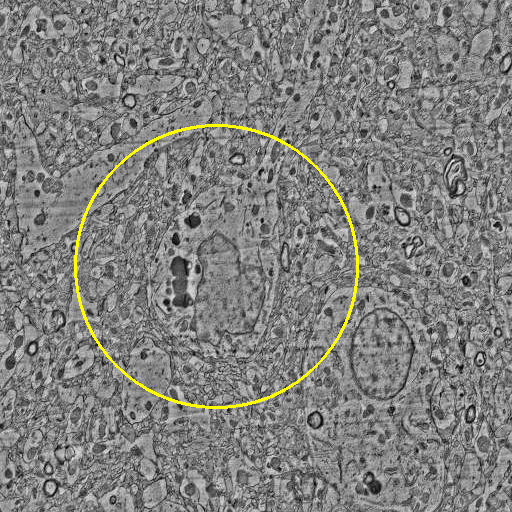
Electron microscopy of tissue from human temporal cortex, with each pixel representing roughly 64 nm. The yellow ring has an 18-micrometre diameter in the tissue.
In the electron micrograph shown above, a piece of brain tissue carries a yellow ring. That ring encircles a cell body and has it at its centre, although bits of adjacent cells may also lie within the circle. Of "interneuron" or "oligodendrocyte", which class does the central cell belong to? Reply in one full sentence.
The cell body at the centre of the yellow ring belongs to an interneuron.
